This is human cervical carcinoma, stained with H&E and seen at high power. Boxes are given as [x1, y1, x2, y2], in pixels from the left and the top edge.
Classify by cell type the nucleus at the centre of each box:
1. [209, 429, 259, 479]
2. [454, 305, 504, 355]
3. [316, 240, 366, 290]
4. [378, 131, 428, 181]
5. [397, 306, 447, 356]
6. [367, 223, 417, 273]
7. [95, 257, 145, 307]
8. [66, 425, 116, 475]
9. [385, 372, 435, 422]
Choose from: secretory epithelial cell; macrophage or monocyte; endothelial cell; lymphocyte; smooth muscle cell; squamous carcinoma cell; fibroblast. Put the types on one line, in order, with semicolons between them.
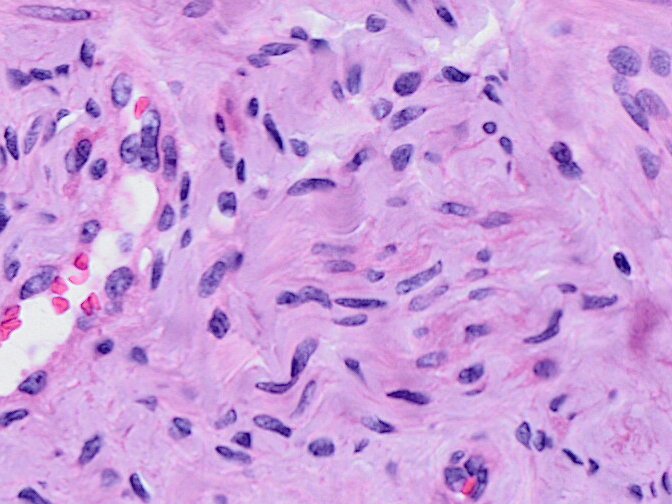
fibroblast; smooth muscle cell; smooth muscle cell; fibroblast; smooth muscle cell; smooth muscle cell; endothelial cell; fibroblast; fibroblast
